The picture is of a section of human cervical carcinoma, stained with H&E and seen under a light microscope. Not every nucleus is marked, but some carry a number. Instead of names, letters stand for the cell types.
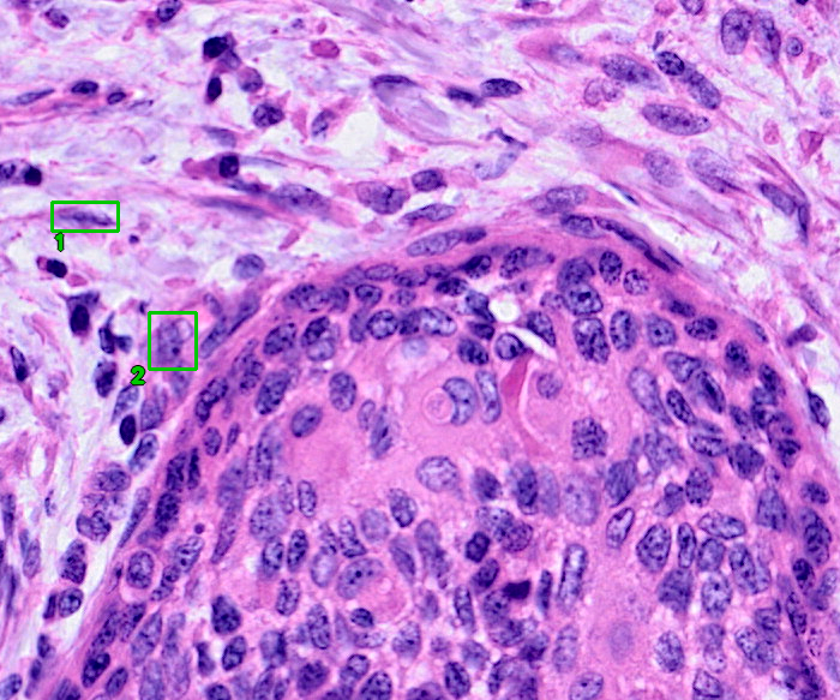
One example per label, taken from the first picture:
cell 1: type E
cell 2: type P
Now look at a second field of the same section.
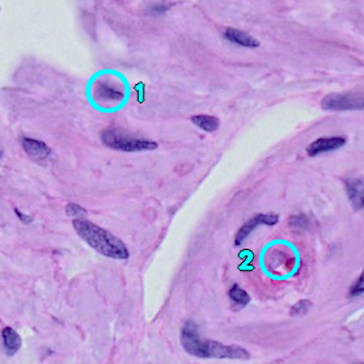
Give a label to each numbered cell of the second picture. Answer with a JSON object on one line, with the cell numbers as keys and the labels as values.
{"1": "type E", "2": "type P"}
